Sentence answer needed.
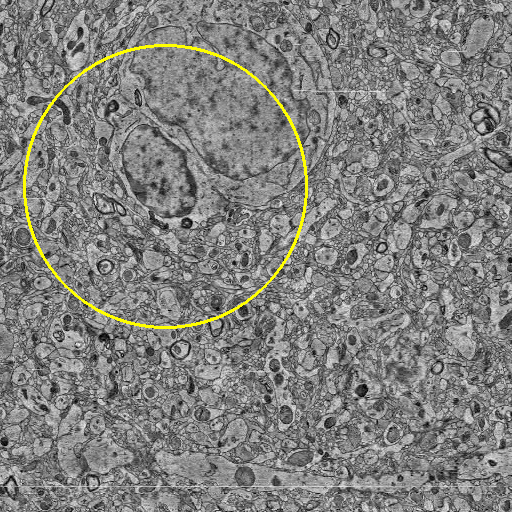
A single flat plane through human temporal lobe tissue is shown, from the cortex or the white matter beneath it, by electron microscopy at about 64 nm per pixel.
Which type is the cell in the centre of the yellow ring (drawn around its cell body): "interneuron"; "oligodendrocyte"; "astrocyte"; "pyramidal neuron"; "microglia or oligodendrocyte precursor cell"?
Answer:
In the centre of the yellow ring is a microglial cell or oligodendrocyte precursor cell.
